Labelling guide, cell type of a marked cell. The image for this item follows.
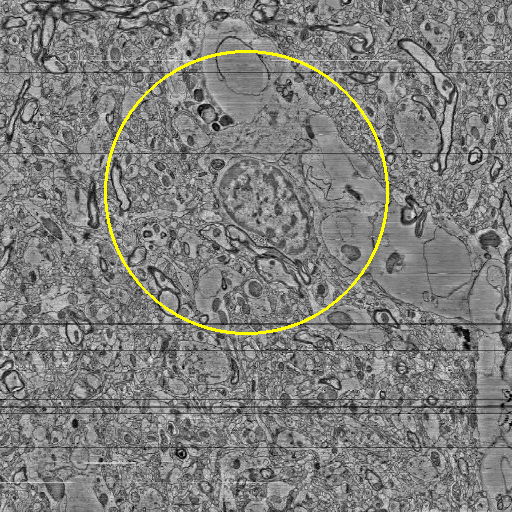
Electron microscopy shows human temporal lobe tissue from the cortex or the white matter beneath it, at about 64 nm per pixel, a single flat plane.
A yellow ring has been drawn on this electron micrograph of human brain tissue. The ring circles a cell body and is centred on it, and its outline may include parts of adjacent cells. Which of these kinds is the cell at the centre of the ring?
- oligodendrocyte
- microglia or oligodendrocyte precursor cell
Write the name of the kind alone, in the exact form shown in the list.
oligodendrocyte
